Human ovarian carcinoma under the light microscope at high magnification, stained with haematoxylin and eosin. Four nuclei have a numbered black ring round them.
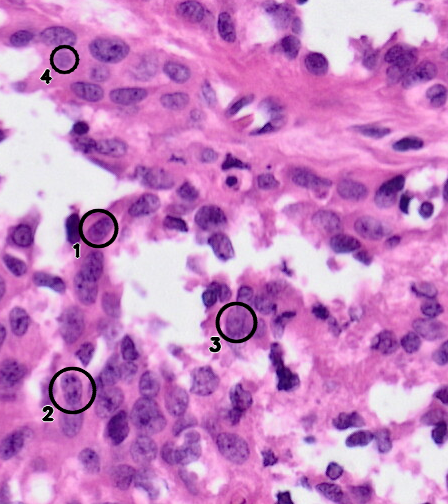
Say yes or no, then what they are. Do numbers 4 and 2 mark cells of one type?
No, cell 4 is typed as a carcinoma cell, and cell 2 is typed as a macrophage or monocyte.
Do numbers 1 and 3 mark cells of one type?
Yes, in short, cells 1 and 3 are both carcinoma cells.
